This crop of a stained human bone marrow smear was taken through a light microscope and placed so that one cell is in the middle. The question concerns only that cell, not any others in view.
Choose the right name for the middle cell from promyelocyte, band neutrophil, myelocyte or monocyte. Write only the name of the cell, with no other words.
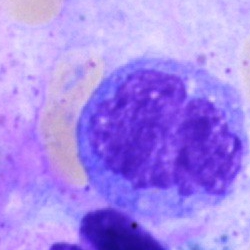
monocyte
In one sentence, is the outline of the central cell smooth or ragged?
No surface projections are present; the cell outline is smooth.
